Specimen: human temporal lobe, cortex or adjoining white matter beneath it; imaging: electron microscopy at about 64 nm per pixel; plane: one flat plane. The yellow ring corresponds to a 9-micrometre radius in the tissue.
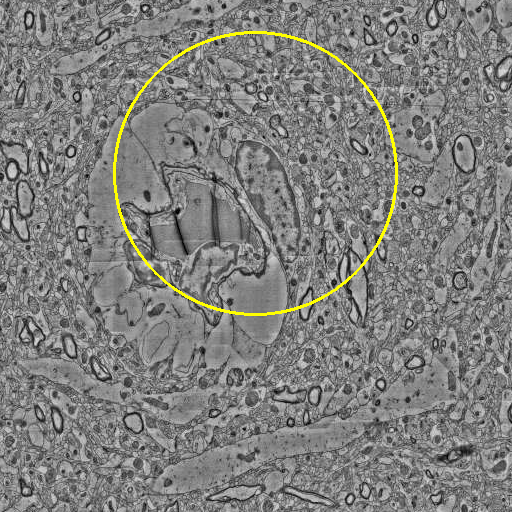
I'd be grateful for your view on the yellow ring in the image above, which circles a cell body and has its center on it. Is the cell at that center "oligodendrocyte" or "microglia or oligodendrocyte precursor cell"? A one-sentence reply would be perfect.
The cell at the center of the yellow ring is a microglial cell or oligodendrocyte precursor cell.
